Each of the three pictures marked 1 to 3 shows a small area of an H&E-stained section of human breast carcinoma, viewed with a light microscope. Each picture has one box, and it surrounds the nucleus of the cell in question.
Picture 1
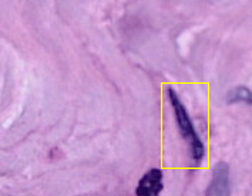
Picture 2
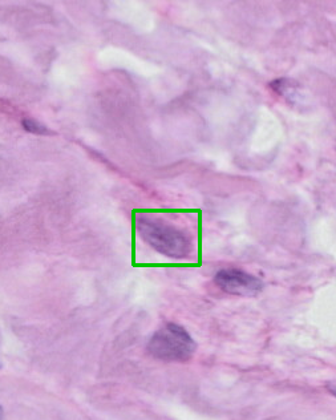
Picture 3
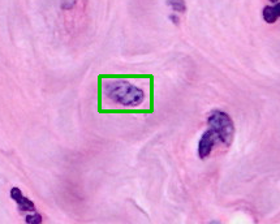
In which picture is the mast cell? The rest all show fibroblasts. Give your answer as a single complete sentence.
Picture 3 is the one that shows the mast cell.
